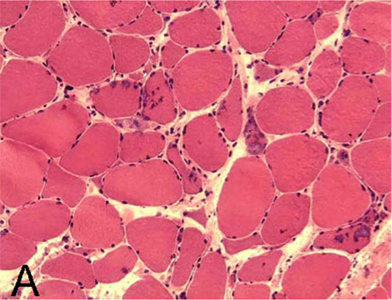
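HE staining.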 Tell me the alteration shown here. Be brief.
atrophic muscle fibers were angular, irregular, and round, with muscle fiber hypertrophy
